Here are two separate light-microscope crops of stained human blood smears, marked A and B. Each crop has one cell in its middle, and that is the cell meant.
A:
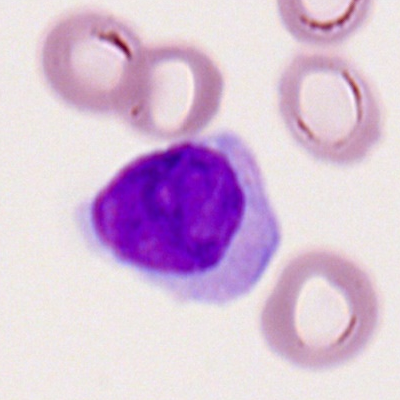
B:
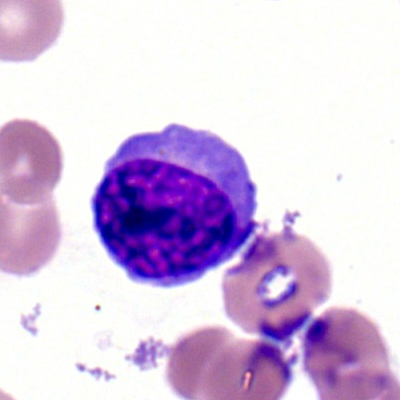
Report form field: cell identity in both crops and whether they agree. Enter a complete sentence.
Yes, both crops here show lymphocytes, the pair of them.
